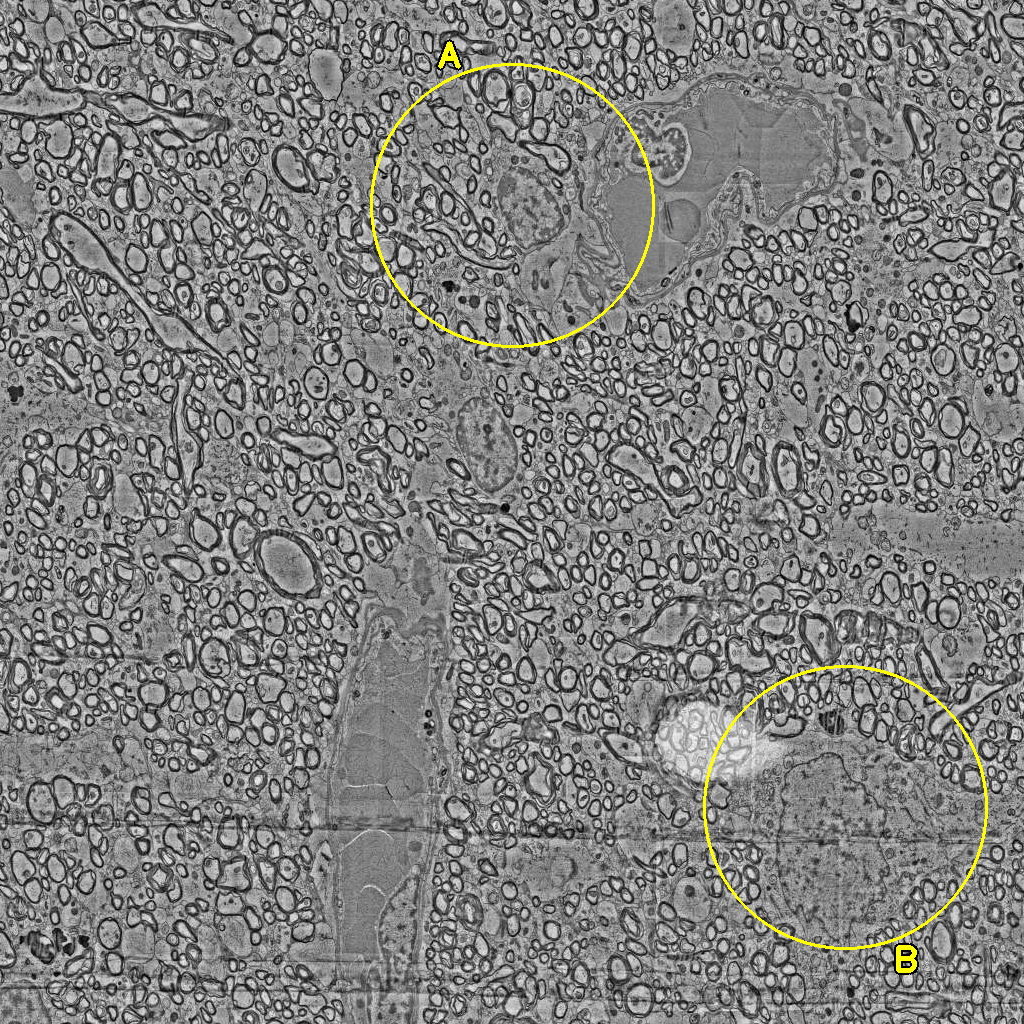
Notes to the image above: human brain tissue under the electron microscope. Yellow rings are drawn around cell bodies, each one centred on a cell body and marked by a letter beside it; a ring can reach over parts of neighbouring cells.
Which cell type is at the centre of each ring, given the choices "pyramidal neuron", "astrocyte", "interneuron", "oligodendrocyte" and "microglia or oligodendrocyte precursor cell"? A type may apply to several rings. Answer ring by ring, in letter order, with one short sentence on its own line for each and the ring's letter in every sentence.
Inside ring A, at its centre, is an oligodendrocyte.
Inside ring B, at its centre, is a pyramidal neuron.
